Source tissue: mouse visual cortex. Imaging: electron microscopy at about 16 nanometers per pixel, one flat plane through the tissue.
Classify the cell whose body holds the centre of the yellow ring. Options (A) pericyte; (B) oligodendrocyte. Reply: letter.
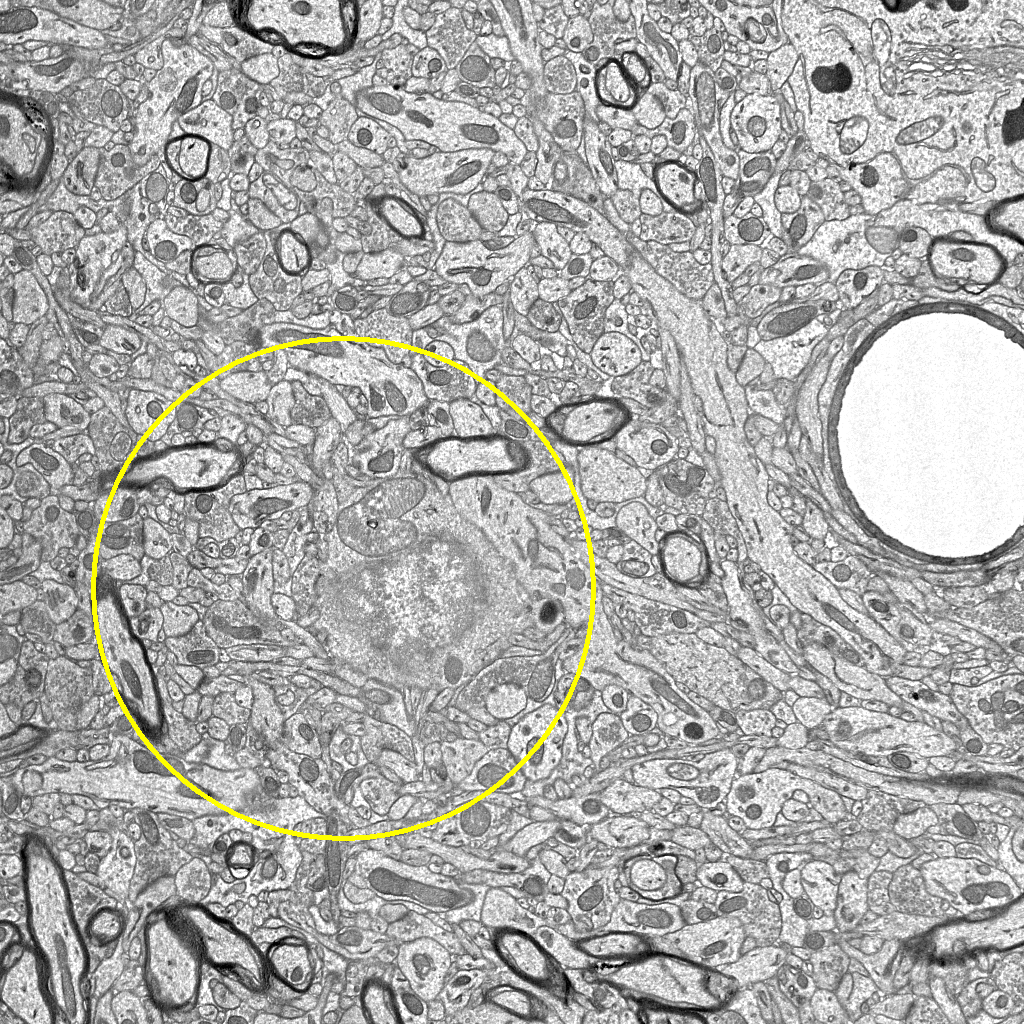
B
